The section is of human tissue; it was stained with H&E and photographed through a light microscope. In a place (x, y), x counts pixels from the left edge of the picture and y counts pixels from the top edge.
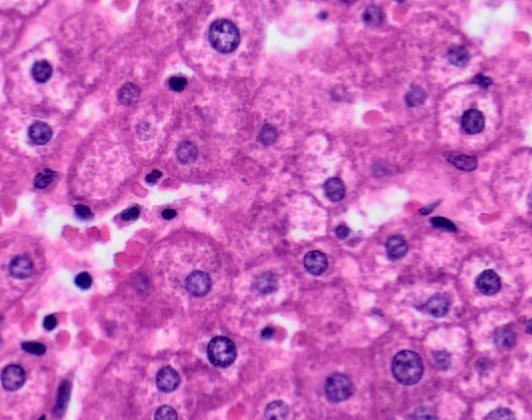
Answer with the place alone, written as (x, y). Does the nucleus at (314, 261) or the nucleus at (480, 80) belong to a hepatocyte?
(314, 261)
